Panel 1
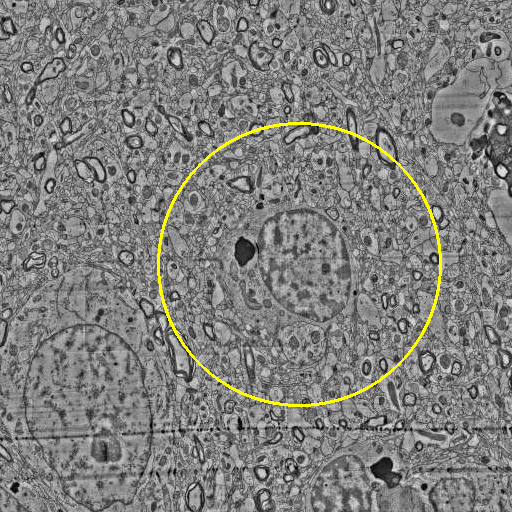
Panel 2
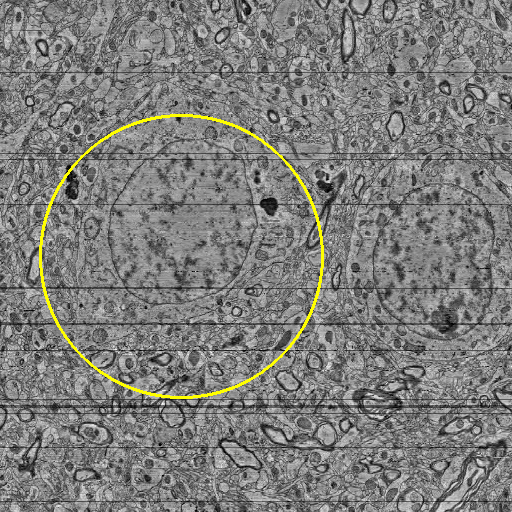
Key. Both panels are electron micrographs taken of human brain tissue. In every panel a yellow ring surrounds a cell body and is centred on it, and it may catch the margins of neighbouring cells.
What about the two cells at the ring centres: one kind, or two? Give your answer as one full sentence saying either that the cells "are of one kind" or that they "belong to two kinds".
Across Panels 1 and 2, the two cells at the ring centres belong to two kinds.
